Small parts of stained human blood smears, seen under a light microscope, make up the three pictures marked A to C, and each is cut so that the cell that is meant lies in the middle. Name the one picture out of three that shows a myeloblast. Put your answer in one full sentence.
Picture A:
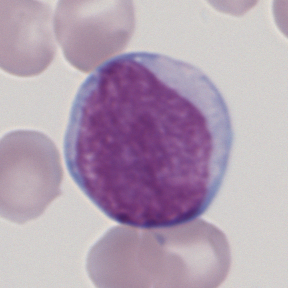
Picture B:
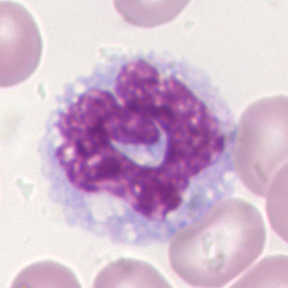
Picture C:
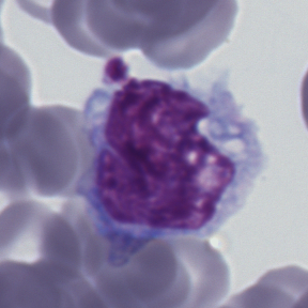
Picture A shows the myeloblast.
